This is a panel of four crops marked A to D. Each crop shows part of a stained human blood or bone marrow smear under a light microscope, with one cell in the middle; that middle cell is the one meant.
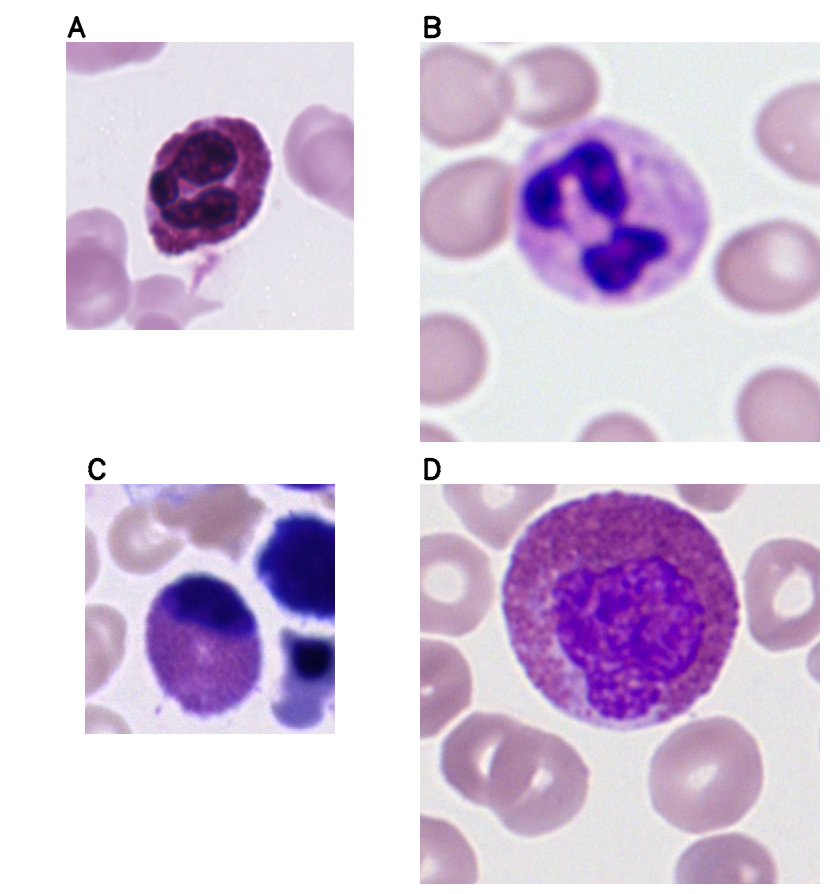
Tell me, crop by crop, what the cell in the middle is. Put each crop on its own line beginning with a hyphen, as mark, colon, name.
- A: eosinophil
- B: segmented neutrophil
- C: eosinophil
- D: eosinophil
